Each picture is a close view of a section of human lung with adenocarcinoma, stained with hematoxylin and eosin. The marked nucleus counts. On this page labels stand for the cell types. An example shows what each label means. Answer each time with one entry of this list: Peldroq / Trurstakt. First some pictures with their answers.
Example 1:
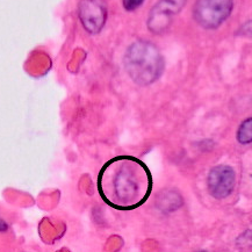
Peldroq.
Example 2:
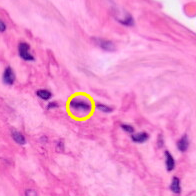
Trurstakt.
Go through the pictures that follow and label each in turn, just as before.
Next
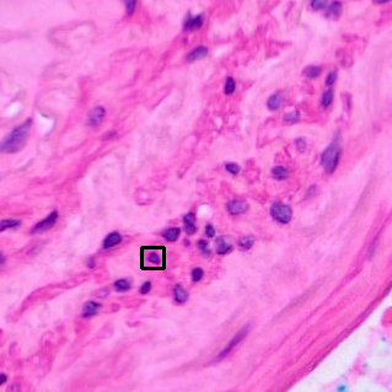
Trurstakt.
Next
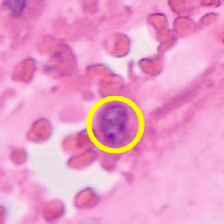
Peldroq.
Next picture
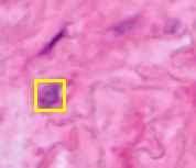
Trurstakt.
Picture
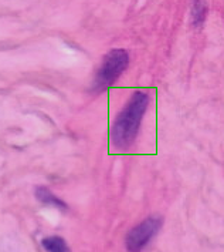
Trurstakt.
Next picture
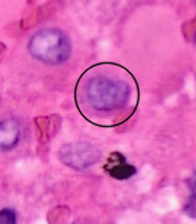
Peldroq.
